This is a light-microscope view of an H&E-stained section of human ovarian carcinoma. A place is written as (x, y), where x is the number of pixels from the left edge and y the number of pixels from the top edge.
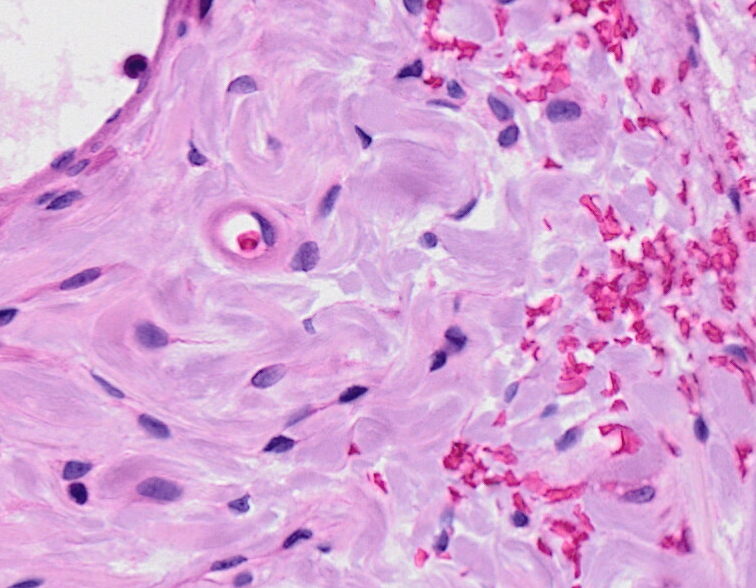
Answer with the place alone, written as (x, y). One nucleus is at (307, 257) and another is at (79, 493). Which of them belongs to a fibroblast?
(307, 257)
